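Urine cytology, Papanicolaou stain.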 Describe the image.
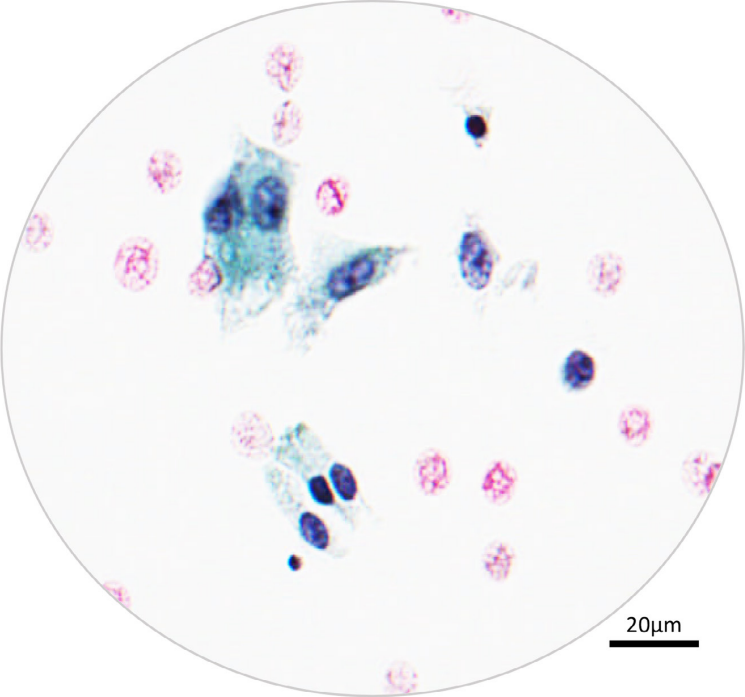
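Scattered across a clean background lie a handful of benign cellular elements: larger polygonal to elongated cells with blue-green cytoplasm and one or two oval, dark blue nuclei, some lying in small groups. Among them are many small round pink to magenta bodies without a nucleus. There are also a few small isolated cells with a single round, very dark nucleus and scant cytoplasm.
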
